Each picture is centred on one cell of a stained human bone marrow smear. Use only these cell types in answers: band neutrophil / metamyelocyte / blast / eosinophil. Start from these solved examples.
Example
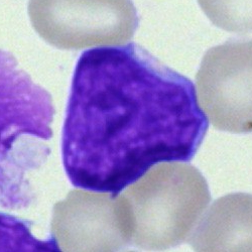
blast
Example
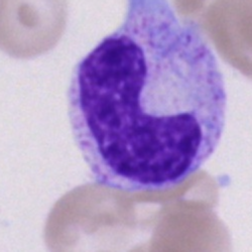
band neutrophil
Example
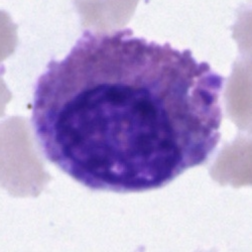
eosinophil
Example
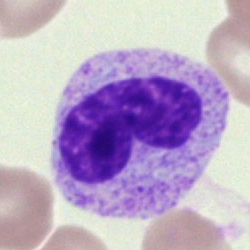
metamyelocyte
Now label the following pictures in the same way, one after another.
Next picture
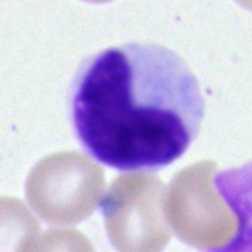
metamyelocyte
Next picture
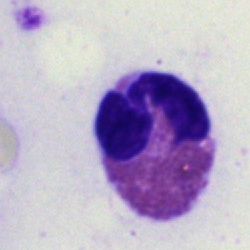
eosinophil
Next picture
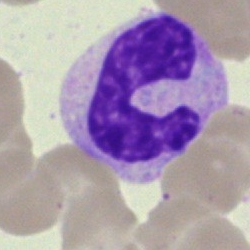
band neutrophil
